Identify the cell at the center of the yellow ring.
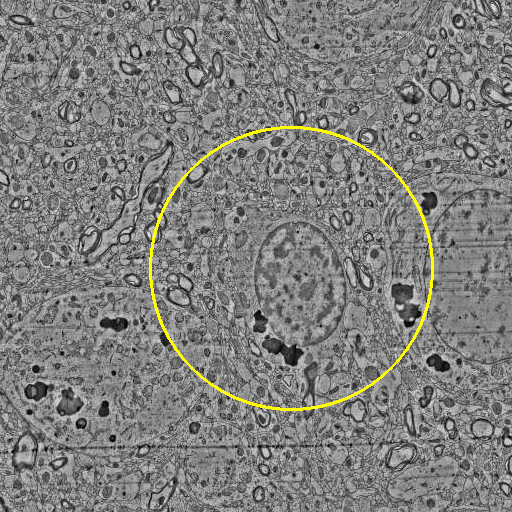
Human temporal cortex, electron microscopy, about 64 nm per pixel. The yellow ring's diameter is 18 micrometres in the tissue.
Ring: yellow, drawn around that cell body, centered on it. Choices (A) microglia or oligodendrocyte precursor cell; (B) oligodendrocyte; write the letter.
B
